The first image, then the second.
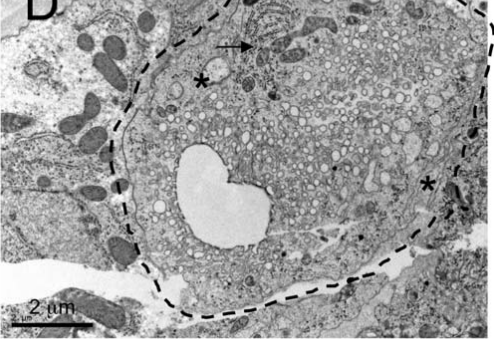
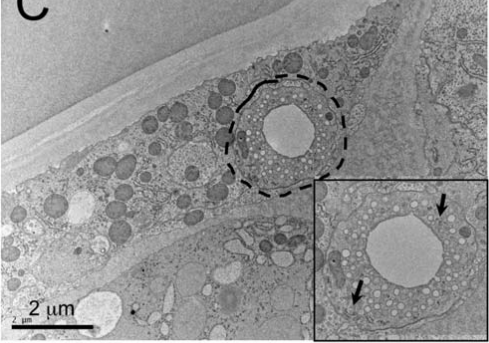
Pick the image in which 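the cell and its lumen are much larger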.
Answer: The first image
